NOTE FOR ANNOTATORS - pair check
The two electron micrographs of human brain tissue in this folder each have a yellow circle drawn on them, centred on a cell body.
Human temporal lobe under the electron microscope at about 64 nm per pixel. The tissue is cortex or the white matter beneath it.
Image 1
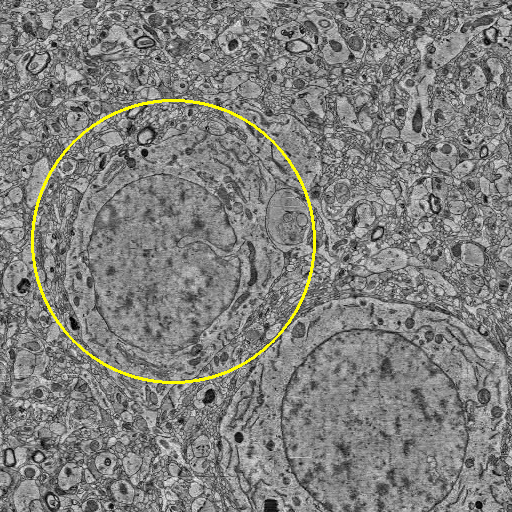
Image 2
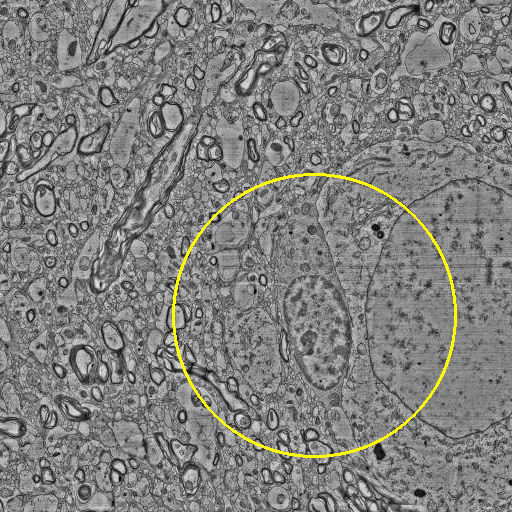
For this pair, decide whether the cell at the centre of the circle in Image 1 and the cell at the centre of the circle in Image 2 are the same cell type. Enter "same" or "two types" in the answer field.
two types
